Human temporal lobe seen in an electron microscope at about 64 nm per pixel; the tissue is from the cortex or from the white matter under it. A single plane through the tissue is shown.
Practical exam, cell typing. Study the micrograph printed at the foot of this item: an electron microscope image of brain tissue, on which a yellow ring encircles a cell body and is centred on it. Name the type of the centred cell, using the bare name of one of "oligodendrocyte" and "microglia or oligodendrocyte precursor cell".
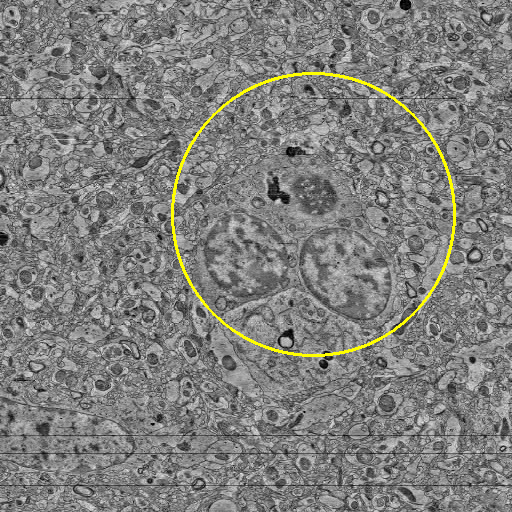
oligodendrocyte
